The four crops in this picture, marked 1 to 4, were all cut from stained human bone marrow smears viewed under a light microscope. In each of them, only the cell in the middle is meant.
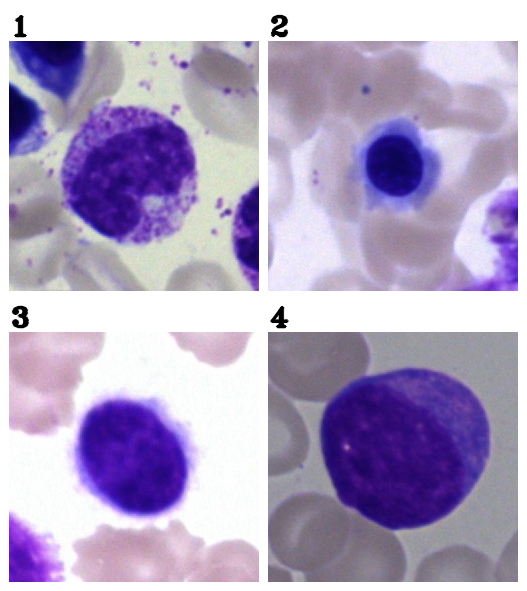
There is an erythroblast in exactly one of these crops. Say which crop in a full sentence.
Selected crop: 2, which is the one that shows an erythroblast.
